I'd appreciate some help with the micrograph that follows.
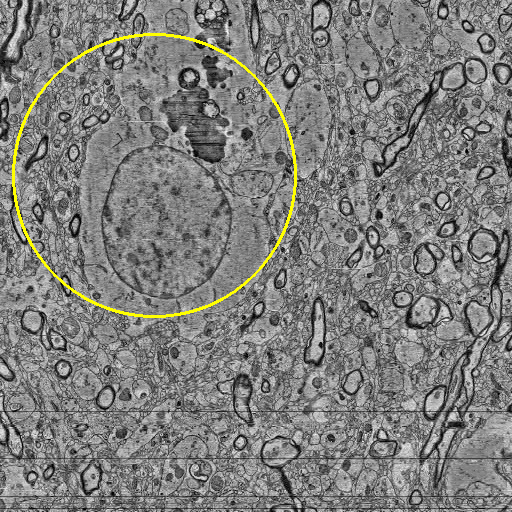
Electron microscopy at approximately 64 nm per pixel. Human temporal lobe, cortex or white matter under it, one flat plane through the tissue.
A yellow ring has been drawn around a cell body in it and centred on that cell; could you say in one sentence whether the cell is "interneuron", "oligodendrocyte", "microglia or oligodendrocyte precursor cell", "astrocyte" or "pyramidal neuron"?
It is an astrocyte at the centre of the ring.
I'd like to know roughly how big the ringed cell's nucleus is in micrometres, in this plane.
About 10 by 8 micrometers for the nucleus, in this plane.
